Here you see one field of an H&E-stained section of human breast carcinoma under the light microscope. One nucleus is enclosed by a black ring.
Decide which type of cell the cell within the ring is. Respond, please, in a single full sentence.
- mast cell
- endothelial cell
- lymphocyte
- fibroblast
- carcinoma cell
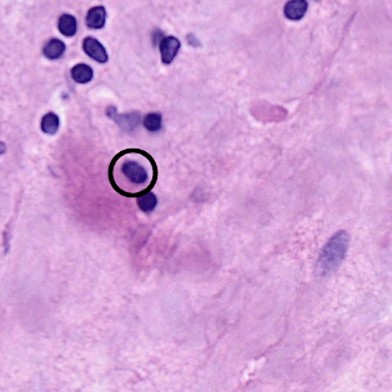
By its classification, the cell within the ring is a lymphocyte.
